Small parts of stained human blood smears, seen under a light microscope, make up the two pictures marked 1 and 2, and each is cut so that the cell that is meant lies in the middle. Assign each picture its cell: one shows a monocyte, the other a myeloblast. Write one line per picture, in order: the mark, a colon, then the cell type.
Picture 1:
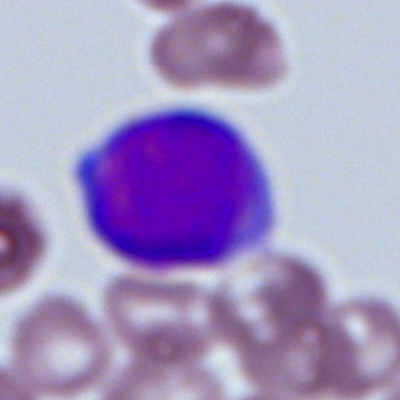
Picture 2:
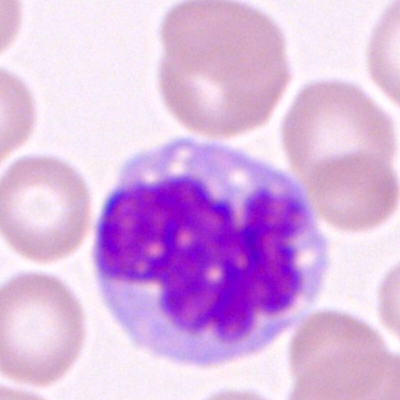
1: myeloblast
2: monocyte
